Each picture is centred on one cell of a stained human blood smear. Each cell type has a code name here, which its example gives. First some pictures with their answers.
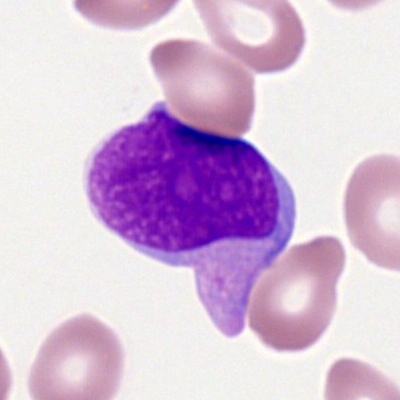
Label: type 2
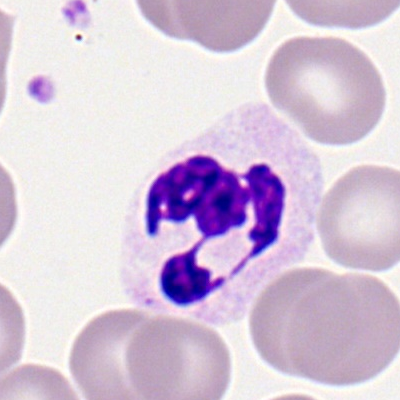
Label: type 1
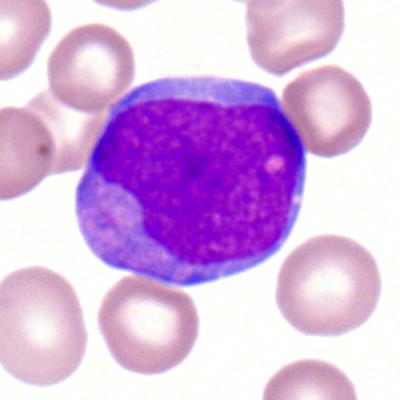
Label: type 2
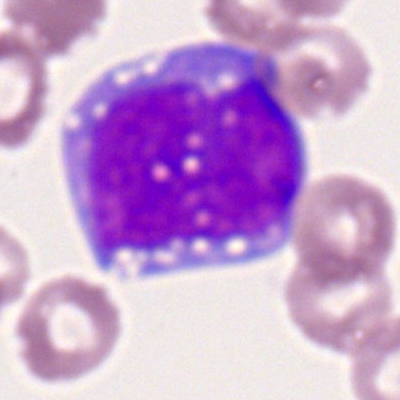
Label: type 2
